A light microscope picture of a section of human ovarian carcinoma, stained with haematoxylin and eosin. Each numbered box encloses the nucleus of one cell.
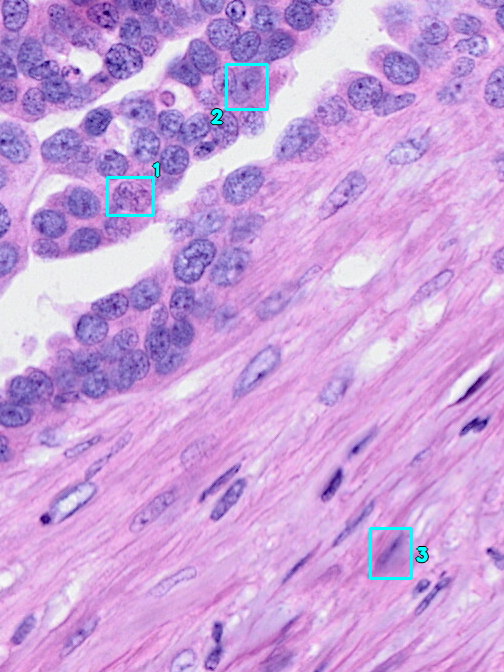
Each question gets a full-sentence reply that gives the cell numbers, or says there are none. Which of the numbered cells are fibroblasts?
The only cell among those numbered to be a fibroblast is number 3.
